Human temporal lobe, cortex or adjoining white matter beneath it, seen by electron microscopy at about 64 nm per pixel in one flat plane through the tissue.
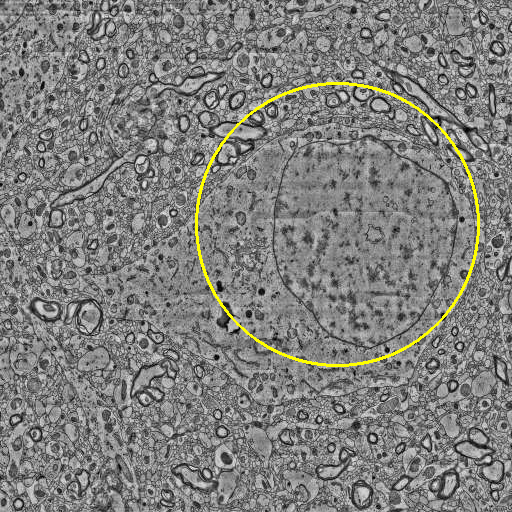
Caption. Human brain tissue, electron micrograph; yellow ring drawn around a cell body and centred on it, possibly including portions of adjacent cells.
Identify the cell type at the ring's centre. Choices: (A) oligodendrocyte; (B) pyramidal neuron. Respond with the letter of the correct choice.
B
